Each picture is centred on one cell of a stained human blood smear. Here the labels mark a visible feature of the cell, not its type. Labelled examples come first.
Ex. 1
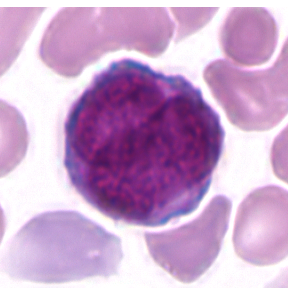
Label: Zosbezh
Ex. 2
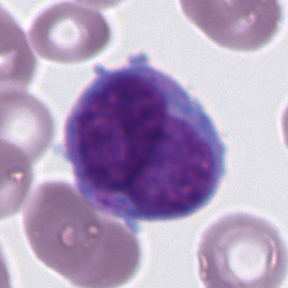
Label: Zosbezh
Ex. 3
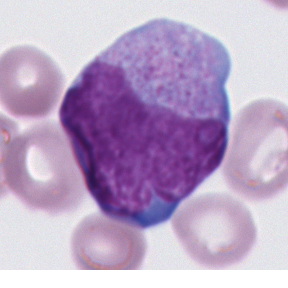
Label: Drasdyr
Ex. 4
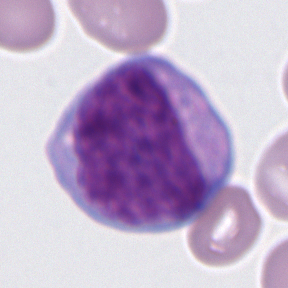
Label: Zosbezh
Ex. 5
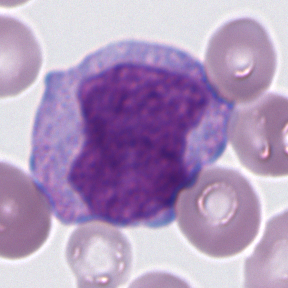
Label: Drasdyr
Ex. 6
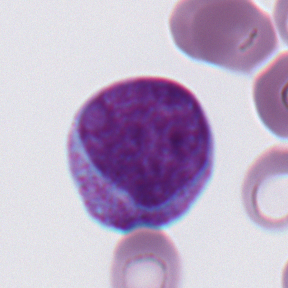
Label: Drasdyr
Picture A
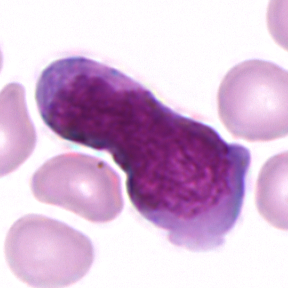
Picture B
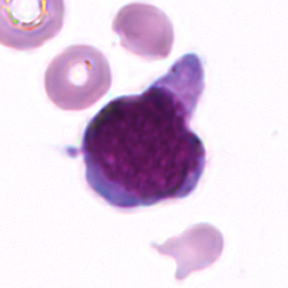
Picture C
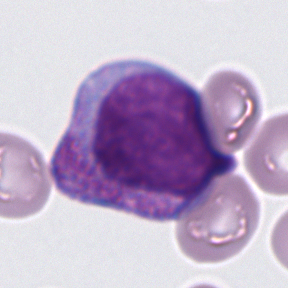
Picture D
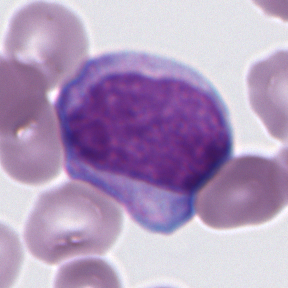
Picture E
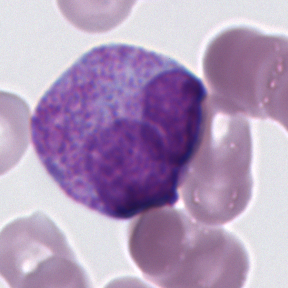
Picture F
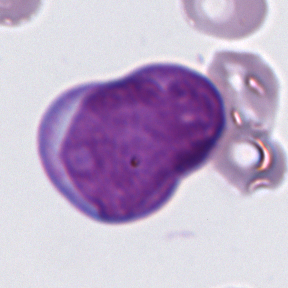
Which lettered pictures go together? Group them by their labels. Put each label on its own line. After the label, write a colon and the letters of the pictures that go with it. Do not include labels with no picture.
Zosbezh: A, B, D, F
Drasdyr: C, E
